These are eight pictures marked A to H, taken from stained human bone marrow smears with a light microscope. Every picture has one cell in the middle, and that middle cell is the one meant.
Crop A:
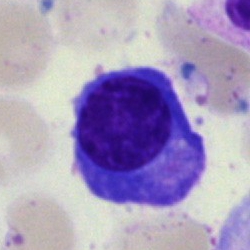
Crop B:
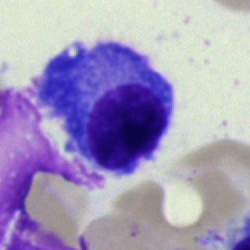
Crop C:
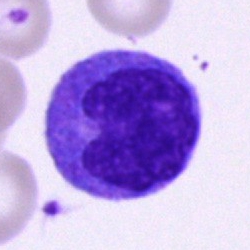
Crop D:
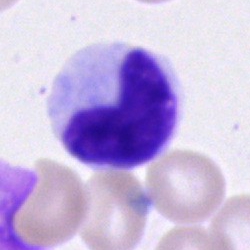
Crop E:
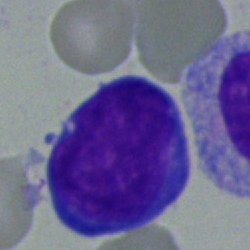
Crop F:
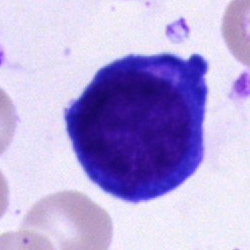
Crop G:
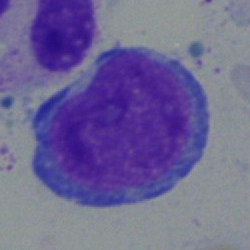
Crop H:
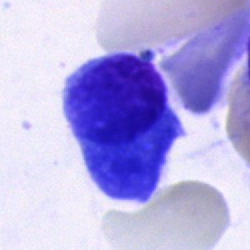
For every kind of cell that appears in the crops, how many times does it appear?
plasma cell: 3
proerythroblast: 3
monocyte: 1
metamyelocyte: 1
